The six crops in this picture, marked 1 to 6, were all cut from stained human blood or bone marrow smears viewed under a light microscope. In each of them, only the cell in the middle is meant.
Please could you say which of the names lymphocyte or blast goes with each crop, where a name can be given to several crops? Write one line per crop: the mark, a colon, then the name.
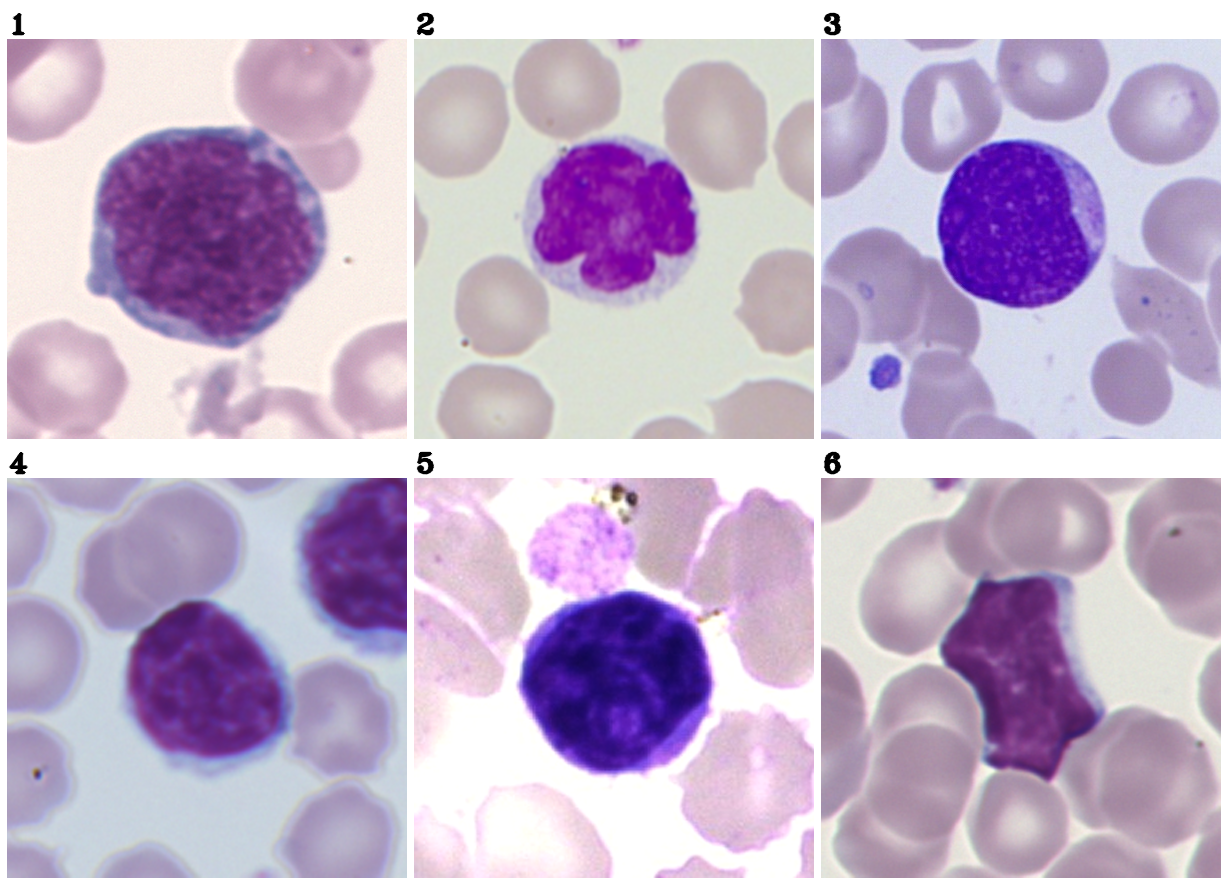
1: blast
2: lymphocyte
3: blast
4: lymphocyte
5: lymphocyte
6: lymphocyte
